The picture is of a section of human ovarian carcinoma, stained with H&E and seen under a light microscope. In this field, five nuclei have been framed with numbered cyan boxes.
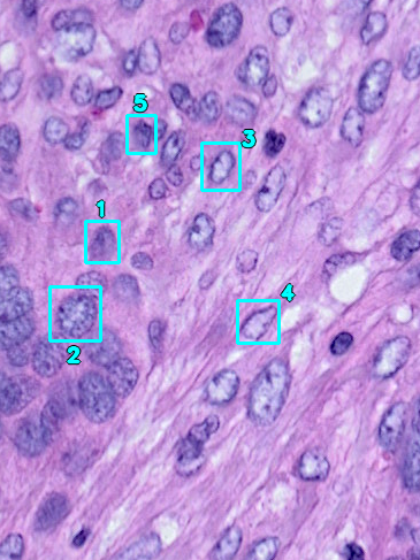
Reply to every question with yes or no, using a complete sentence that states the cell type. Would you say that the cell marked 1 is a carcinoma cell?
No. Cell number 1 is a fibroblast, not a carcinoma cell.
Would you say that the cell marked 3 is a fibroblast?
Yes, cell number 3 in this section is a fibroblast.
